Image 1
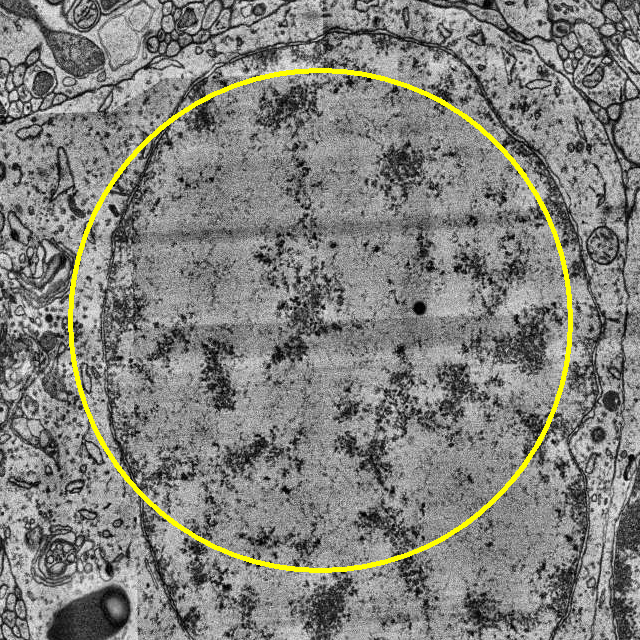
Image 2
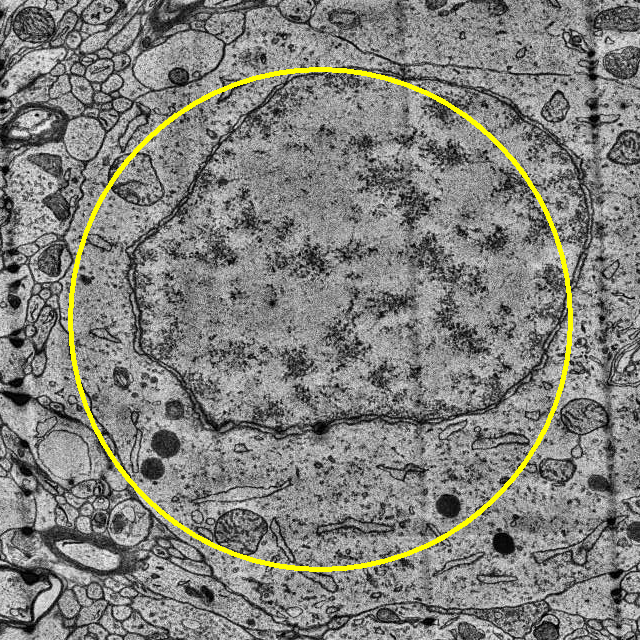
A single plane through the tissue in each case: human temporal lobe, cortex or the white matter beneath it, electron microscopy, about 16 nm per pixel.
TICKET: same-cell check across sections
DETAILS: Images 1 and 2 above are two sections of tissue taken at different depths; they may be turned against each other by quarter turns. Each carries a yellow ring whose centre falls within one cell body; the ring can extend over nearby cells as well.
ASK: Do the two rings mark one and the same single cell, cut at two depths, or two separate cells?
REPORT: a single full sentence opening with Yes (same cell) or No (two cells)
Yes, the two rings mark one cell and not separate cells.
